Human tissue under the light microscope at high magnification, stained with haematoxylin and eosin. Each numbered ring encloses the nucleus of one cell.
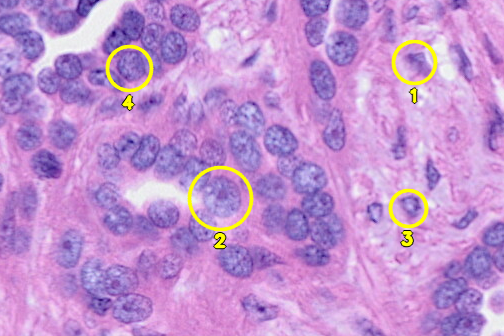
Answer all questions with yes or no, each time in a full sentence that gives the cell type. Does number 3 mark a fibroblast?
Yes, the cell that goes by number 3 is a fibroblast.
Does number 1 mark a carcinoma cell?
No, the cell carrying number 1 is a fibroblast rather than a carcinoma cell.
